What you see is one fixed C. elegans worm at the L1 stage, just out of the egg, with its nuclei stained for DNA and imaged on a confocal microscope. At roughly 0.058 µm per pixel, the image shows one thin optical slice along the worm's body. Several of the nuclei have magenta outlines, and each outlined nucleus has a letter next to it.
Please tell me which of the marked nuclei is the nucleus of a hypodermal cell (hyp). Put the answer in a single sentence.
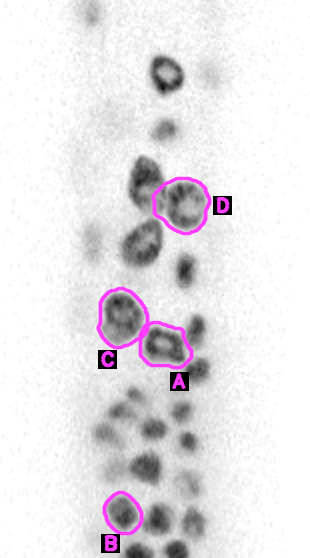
It is D that belongs to a hypodermal cell (hyp).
